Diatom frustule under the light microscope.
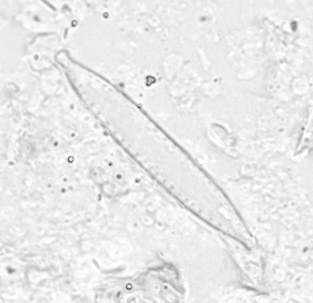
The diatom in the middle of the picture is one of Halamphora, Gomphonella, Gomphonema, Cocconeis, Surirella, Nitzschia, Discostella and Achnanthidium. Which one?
Nitzschia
